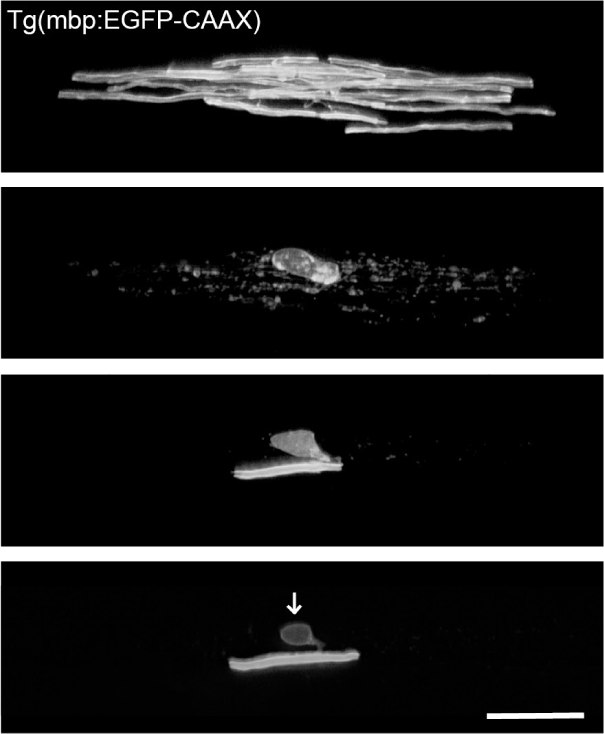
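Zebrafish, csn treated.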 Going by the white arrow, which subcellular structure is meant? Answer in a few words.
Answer: cell bodies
